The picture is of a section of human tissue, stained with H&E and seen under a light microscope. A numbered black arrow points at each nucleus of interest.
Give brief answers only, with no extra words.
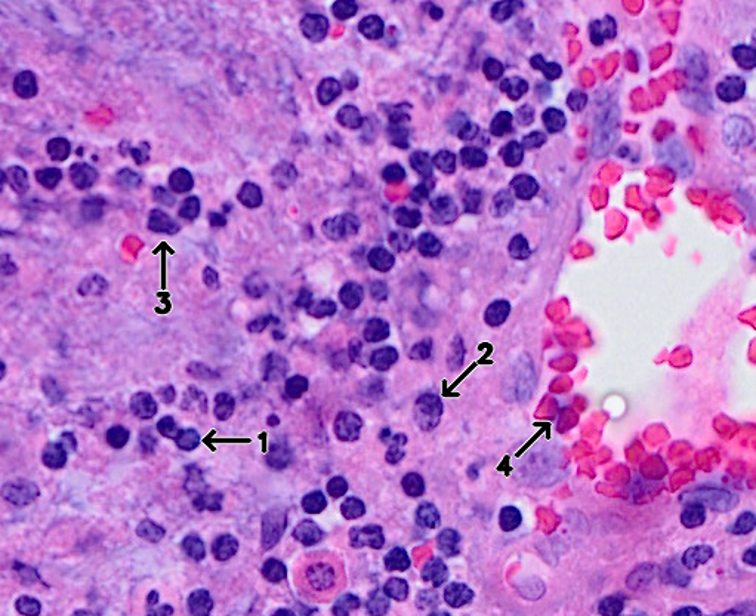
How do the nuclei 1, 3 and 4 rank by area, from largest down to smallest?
4, 3, 1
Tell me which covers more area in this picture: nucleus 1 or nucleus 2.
2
